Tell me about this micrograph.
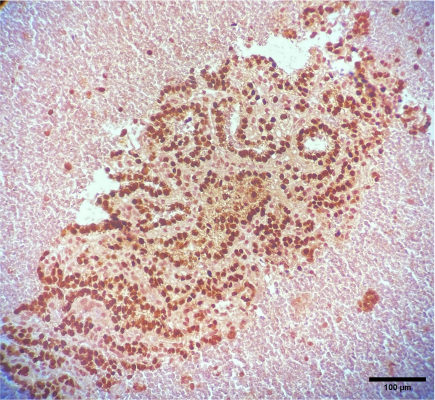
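Here a cluster of tumor cells sits in a sea of red blood cells and scattered small cells. Nearly every tumor cell has a round to oval nucleus stained dark brown, giving the cluster a dense dotted look, while the cytoplasm around the nuclei is only pale. The cells form cords and a few small rings around tiny spaces, and toward the lower left they continue in rows. The brown nuclear stain is diffuse across the whole cluster, in sharp contrast to the unstained background cells.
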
